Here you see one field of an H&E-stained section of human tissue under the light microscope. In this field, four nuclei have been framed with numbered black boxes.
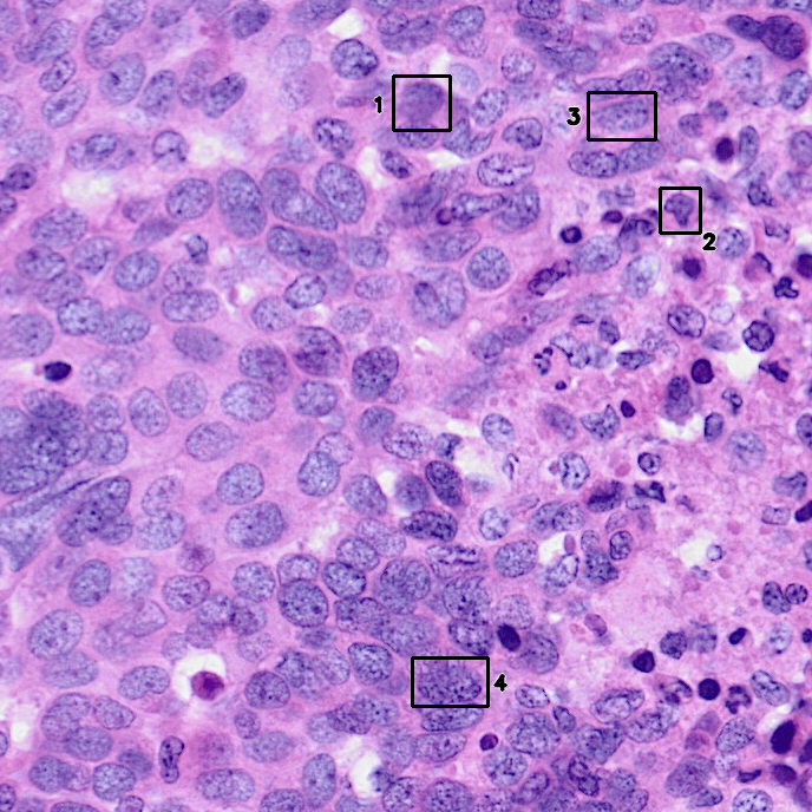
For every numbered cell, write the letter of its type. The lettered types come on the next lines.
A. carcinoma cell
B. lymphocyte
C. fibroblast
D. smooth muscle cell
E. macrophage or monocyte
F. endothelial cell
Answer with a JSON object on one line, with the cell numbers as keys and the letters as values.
{"1": "A", "2": "E", "3": "A", "4": "A"}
